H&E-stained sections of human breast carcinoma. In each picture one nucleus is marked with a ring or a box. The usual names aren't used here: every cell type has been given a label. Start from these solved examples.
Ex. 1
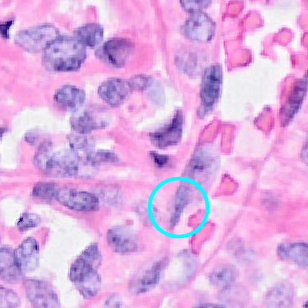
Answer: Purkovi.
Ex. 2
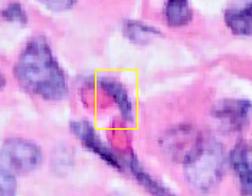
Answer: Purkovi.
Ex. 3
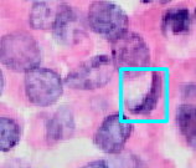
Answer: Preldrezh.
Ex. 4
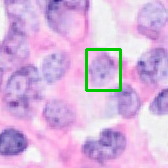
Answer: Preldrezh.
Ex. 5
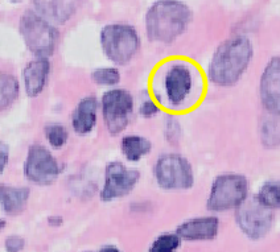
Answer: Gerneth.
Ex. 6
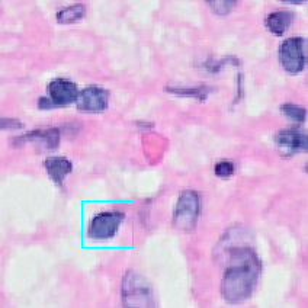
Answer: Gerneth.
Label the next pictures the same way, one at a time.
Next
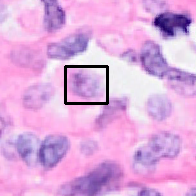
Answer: Preldrezh.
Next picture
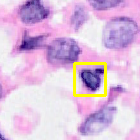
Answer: Gerneth.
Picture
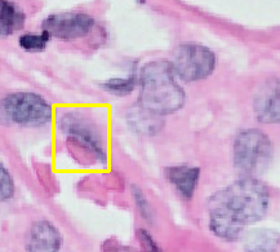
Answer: Purkovi.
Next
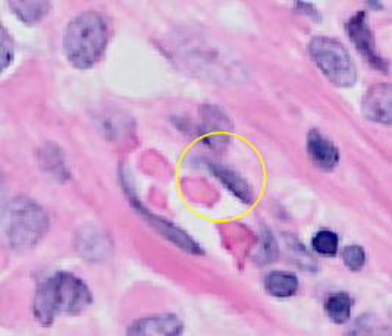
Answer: Purkovi.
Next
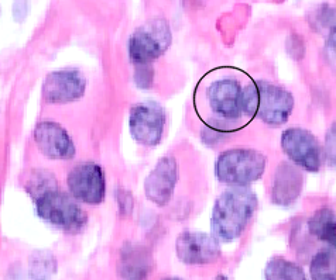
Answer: Preldrezh.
